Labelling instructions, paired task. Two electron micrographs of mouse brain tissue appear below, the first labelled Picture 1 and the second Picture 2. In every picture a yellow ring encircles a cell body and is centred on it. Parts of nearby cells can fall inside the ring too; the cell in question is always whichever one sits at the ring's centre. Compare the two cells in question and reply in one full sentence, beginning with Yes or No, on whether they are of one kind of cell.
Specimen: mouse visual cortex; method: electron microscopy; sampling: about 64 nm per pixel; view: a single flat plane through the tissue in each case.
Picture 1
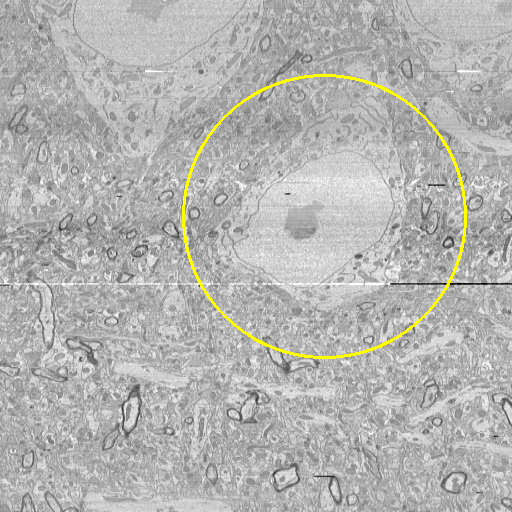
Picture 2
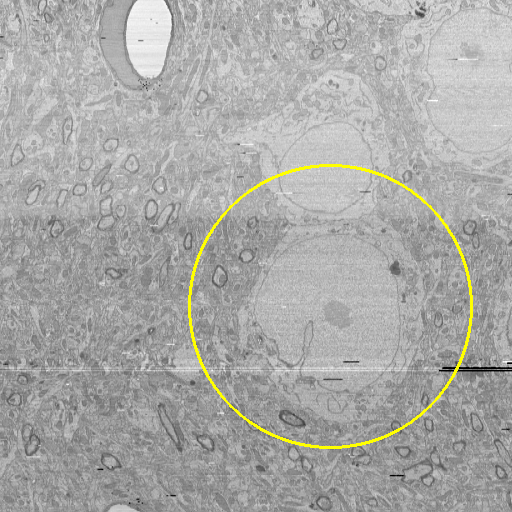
Yes, the two cells at the ring centres in Picture 1 and Picture 2 are of one kind.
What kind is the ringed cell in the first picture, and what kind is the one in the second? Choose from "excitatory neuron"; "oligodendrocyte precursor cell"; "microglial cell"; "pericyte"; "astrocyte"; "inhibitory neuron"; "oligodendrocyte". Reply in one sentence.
Both rings mark an excitatory neuron, one in each picture.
